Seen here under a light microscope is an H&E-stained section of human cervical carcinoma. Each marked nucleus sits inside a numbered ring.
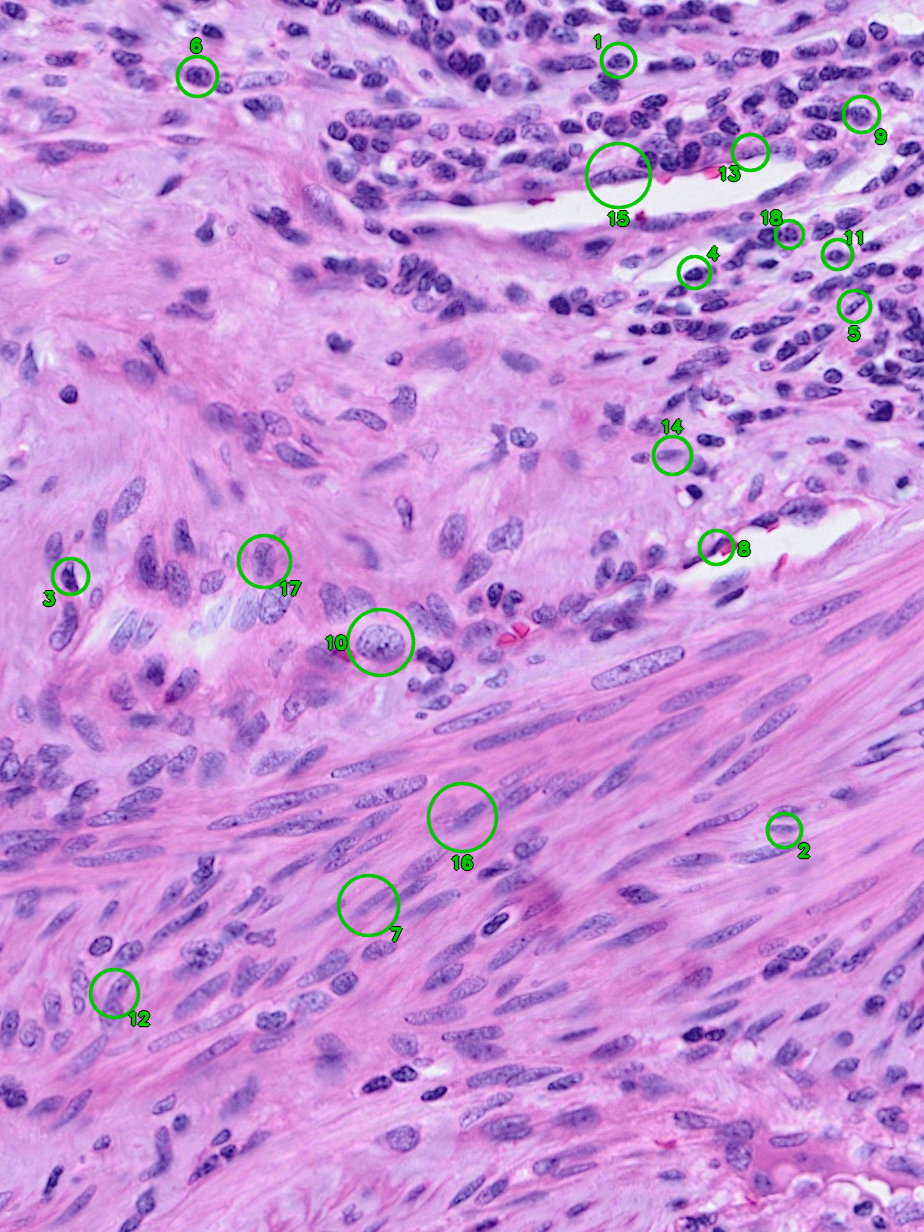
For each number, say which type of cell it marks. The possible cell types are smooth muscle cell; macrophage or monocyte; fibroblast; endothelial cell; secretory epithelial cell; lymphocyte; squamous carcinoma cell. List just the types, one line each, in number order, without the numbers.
lymphocyte
smooth muscle cell
lymphocyte
lymphocyte
lymphocyte
lymphocyte
smooth muscle cell
endothelial cell
lymphocyte
endothelial cell
lymphocyte
smooth muscle cell
endothelial cell
fibroblast
endothelial cell
smooth muscle cell
endothelial cell
lymphocyte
